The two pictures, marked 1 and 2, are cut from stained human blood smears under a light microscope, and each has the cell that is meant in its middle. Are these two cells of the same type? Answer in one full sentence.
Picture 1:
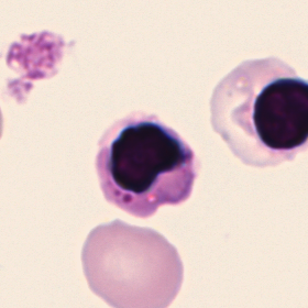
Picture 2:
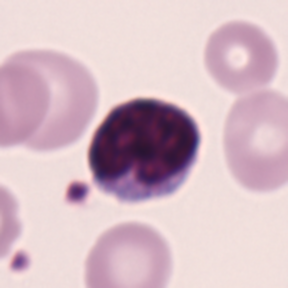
No, picture 1 shows a normoblast and picture 2 shows a typical lymphocyte.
